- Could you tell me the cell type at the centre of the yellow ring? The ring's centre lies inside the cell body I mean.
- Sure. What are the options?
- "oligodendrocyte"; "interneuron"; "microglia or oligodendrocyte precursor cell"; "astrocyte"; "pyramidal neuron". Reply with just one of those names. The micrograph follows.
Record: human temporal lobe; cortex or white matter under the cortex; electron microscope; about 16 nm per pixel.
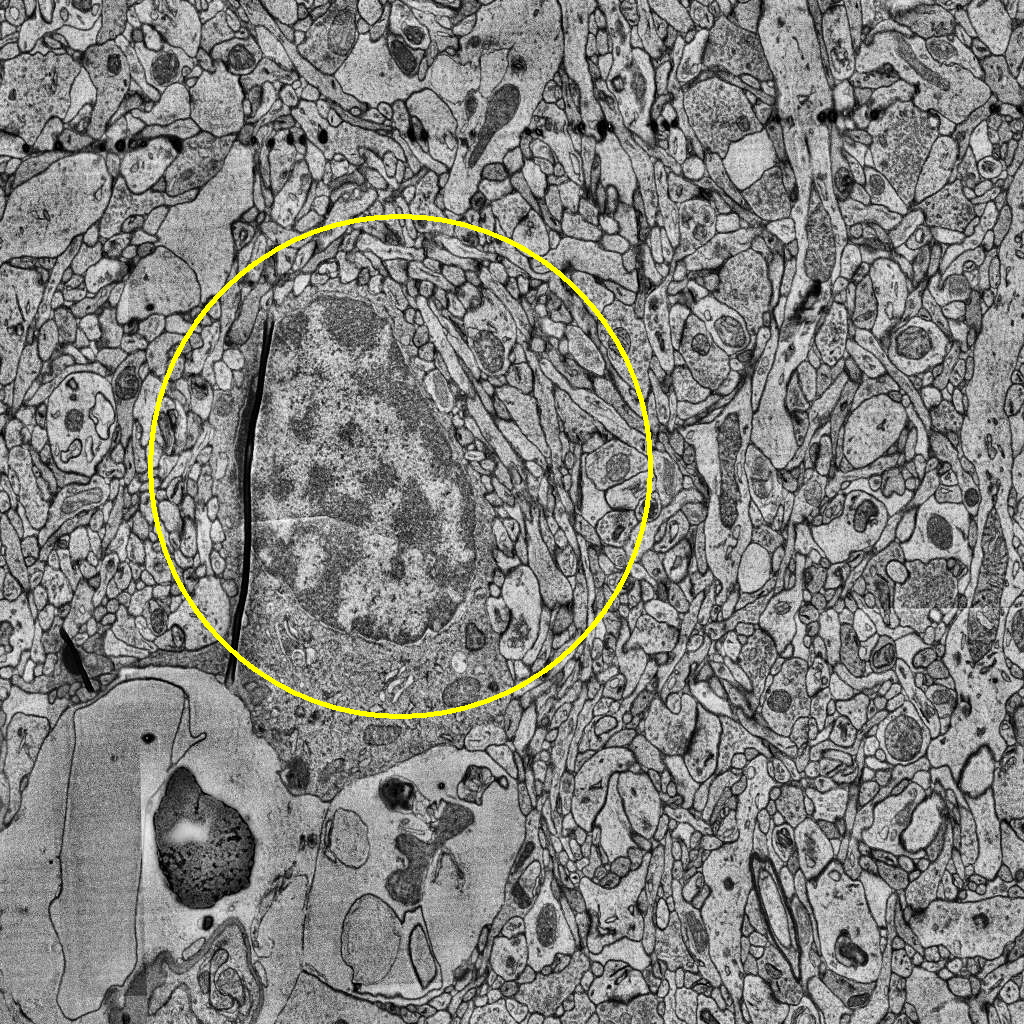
oligodendrocyte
